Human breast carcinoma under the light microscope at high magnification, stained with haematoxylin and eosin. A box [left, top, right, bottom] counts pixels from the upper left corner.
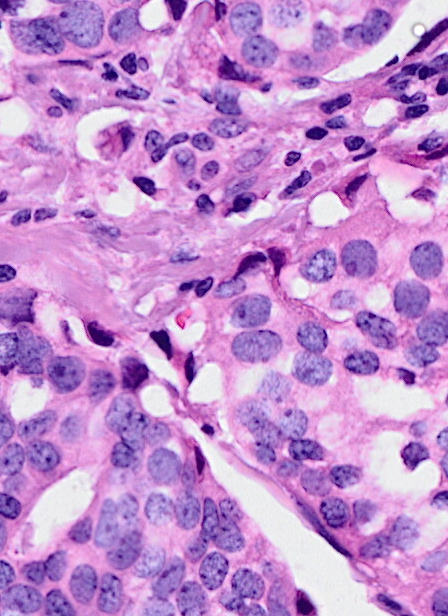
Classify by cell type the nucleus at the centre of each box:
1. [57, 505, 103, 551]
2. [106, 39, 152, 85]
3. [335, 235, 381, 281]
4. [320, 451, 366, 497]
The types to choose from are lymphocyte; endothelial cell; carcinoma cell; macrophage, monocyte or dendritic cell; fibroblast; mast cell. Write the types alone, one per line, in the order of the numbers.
carcinoma cell
lymphocyte
carcinoma cell
carcinoma cell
